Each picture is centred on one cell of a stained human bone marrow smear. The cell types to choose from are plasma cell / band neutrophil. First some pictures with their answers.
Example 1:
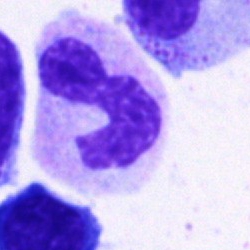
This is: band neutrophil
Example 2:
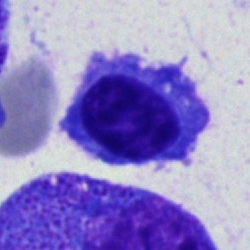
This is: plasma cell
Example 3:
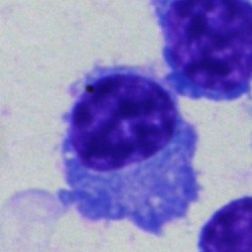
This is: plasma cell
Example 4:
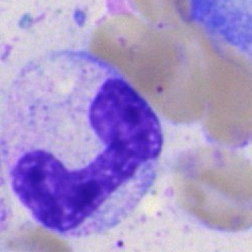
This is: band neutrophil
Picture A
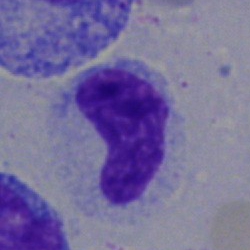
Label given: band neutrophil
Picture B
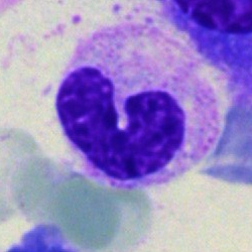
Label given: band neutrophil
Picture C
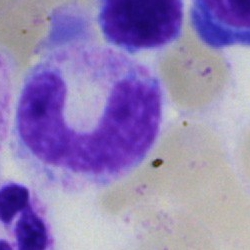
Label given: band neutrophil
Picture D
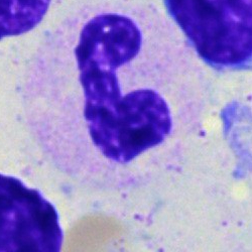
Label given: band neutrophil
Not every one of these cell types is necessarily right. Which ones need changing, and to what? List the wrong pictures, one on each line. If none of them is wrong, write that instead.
Every label is right.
